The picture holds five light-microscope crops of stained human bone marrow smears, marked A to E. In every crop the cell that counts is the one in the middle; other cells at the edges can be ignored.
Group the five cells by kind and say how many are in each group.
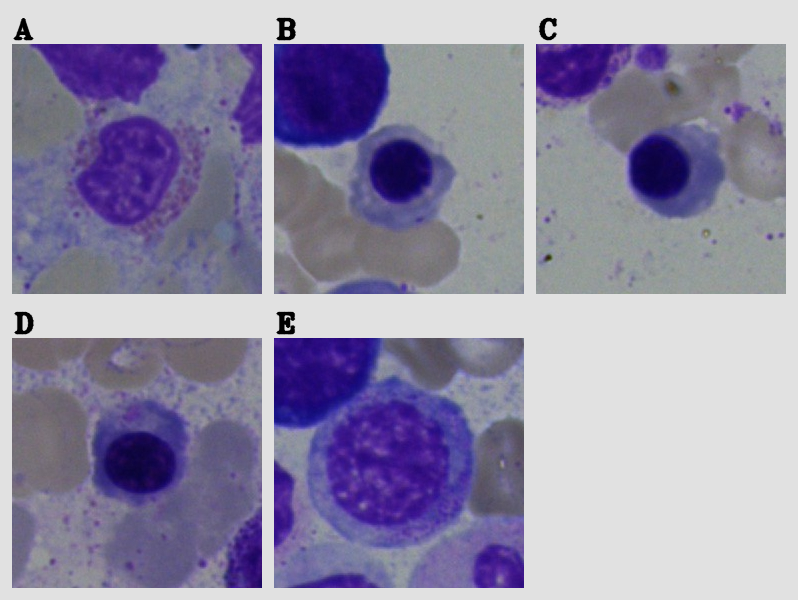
erythroblast: 3
eosinophil: 1
myelocyte: 1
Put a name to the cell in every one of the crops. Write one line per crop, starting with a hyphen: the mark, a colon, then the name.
- A: eosinophil
- B: erythroblast
- C: erythroblast
- D: erythroblast
- E: myelocyte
